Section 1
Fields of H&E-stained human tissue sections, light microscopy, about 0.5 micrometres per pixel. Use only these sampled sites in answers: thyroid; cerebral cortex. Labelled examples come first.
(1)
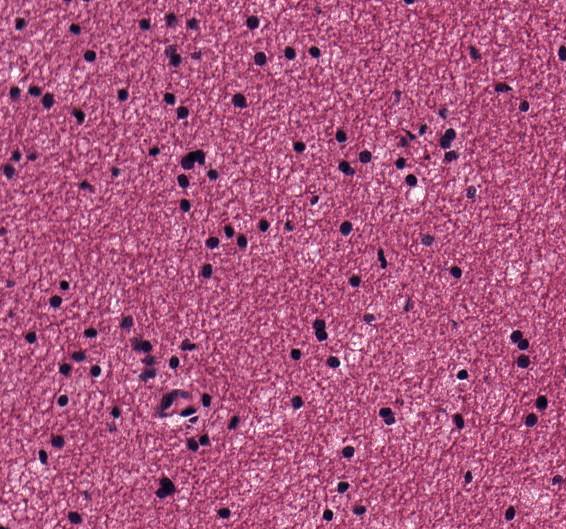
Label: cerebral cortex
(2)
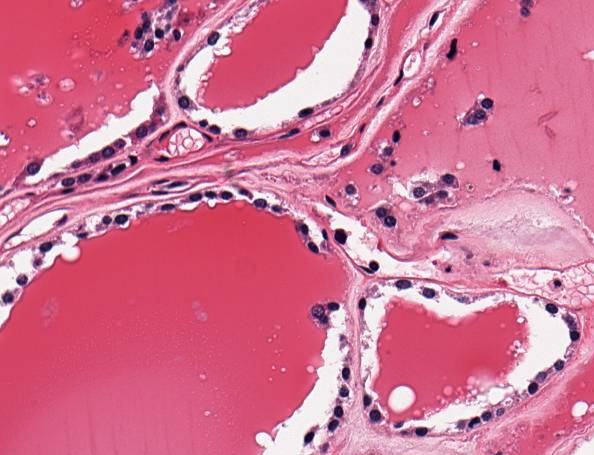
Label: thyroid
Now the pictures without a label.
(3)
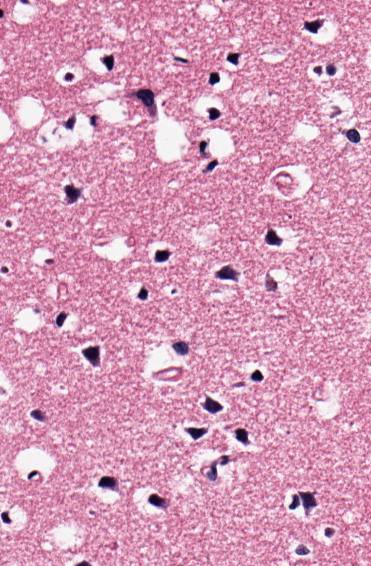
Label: cerebral cortex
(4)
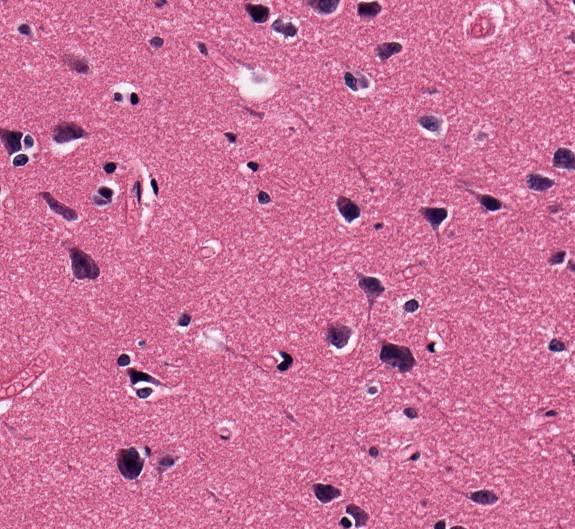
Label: cerebral cortex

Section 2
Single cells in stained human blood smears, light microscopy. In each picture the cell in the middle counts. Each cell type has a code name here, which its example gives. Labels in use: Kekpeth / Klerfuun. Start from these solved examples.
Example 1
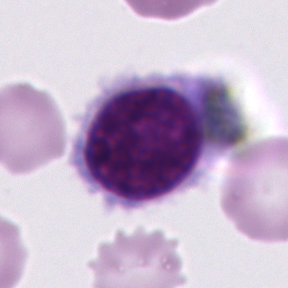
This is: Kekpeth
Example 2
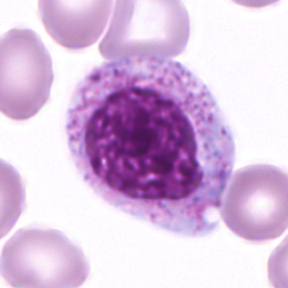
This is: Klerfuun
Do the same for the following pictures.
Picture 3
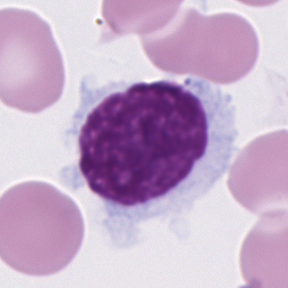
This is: Kekpeth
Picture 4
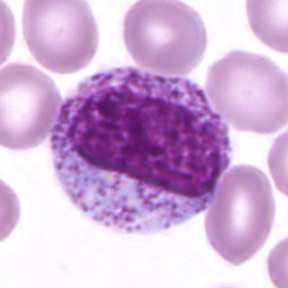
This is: Klerfuun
